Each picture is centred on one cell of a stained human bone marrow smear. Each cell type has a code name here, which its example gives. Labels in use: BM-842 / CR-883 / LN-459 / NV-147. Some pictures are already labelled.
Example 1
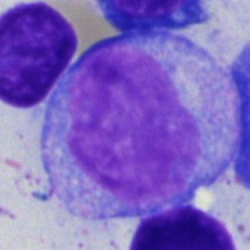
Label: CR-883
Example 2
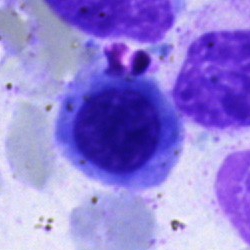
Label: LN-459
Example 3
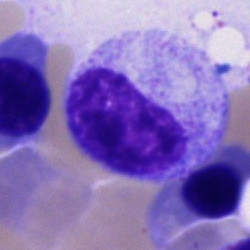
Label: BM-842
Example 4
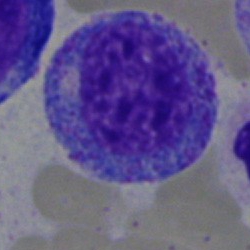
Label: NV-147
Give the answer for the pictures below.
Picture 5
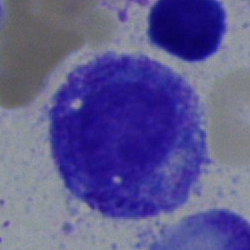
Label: BM-842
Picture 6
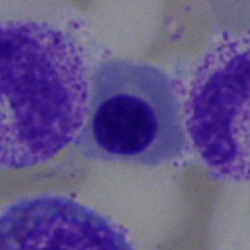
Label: LN-459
